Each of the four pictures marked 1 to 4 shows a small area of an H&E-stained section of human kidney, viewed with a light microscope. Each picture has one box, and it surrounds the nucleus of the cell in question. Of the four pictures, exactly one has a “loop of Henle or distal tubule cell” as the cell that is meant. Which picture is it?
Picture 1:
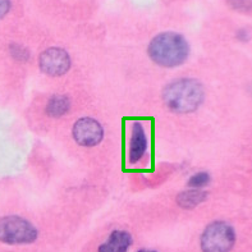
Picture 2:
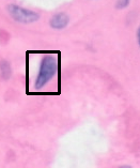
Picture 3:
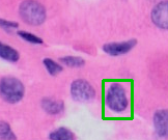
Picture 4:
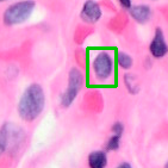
3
